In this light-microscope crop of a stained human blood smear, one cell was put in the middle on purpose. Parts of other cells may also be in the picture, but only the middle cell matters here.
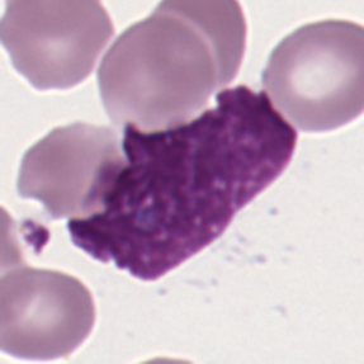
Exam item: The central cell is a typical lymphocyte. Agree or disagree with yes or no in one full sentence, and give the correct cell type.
No, the cell occupying the centre is a smudge cell, not a typical lymphocyte.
